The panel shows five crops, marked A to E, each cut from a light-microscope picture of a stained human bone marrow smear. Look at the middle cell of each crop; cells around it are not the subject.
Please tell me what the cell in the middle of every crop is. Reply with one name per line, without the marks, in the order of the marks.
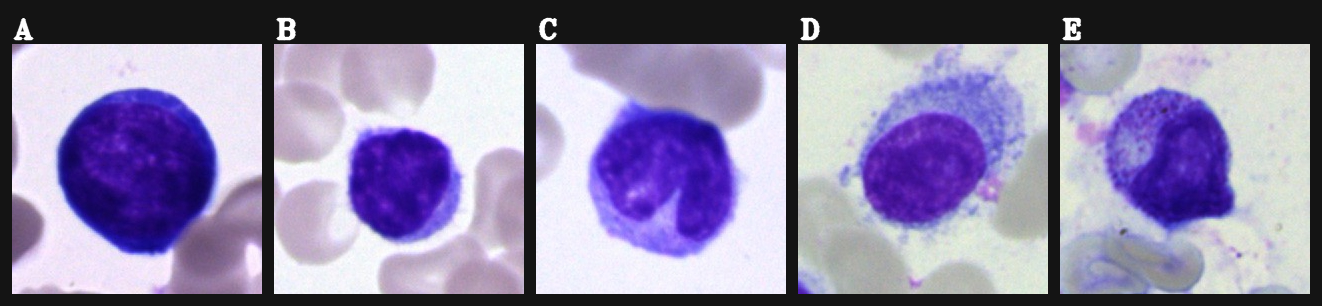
proerythroblast
lymphocyte
monocyte
hairy cell
myelocyte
